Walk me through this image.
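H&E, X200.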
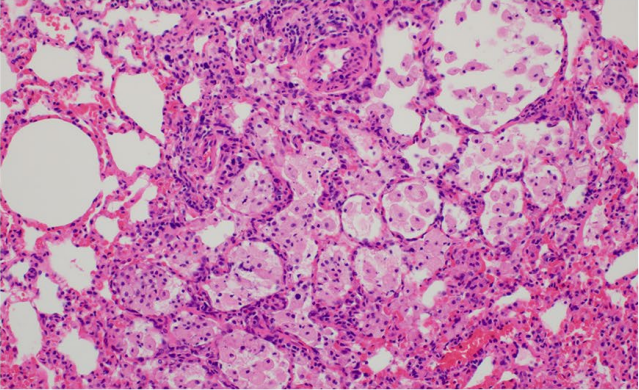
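Section of lung with rounded nests of foamy histiocytes filling alveolar spaces. The histiocytes are large, with pale pink, finely vacuolated cytoplasm and small bland nuclei. The nests are outlined by thin rims and separated by thickened, cellular septa with spindle-shaped nuclei. A thick-walled vessel lies at the top edge of the field. At the left, normally aerated alveoli with thin walls remain open.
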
